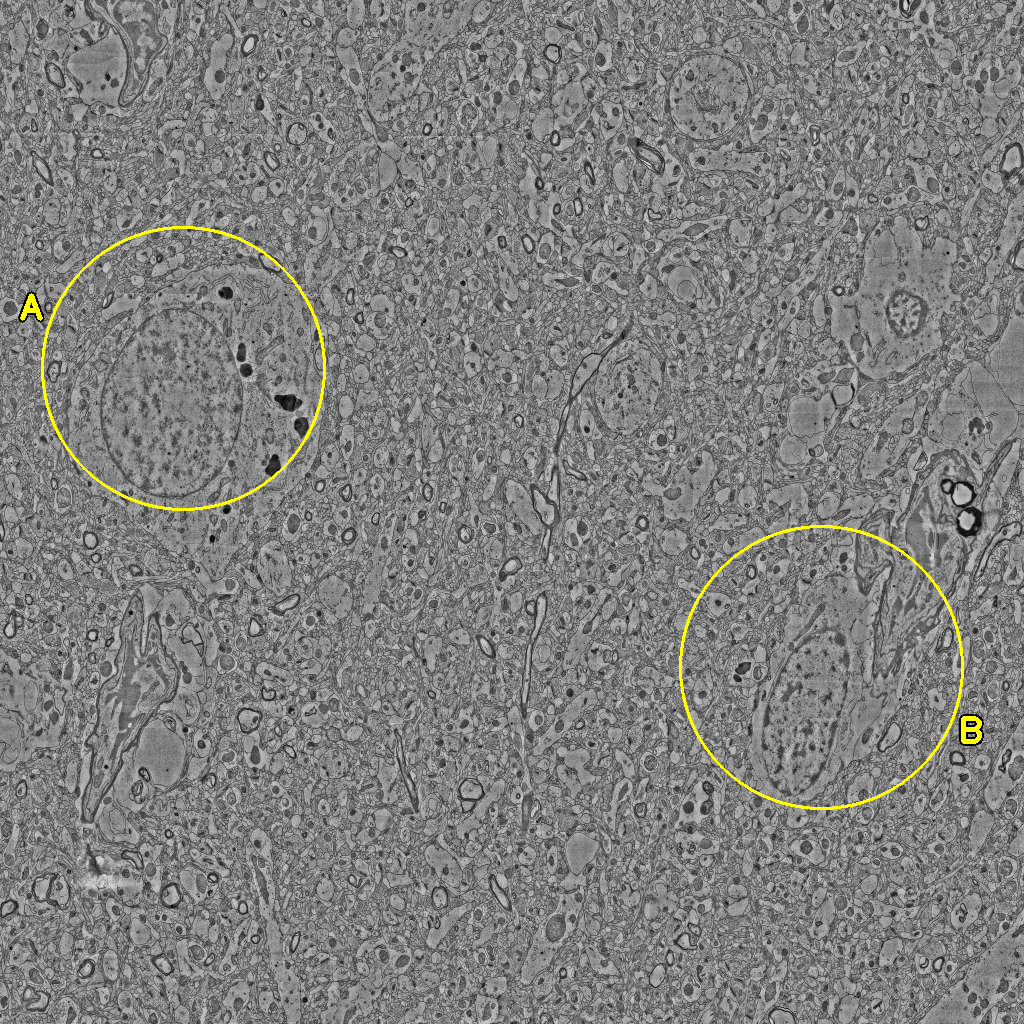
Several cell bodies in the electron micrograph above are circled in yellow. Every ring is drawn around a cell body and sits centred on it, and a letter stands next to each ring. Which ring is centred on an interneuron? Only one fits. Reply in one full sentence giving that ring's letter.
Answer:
The ring centred on the cell asked for is Ring A.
